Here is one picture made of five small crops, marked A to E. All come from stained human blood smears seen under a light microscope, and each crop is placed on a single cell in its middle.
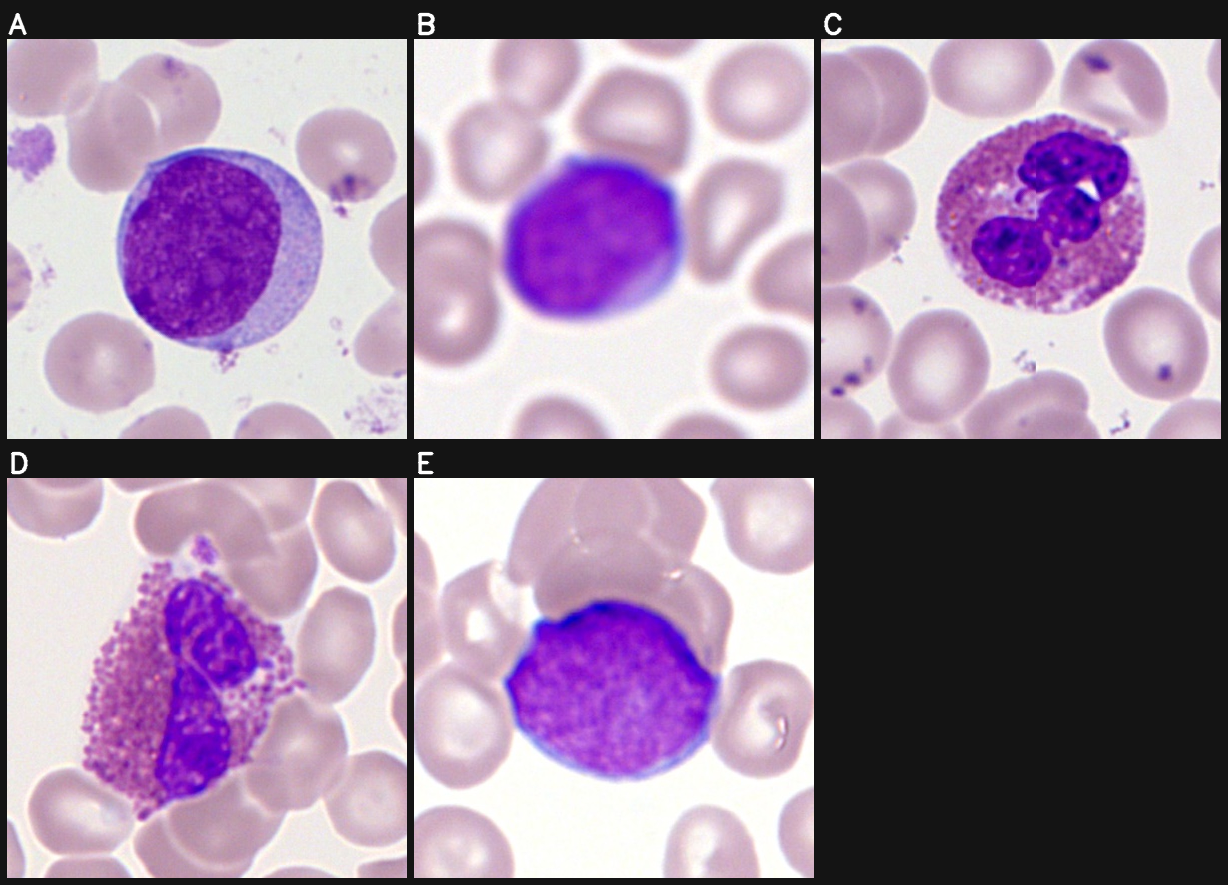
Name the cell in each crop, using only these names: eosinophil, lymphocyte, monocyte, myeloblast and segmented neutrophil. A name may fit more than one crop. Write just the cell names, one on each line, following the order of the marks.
myeloblast
myeloblast
eosinophil
eosinophil
myeloblast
